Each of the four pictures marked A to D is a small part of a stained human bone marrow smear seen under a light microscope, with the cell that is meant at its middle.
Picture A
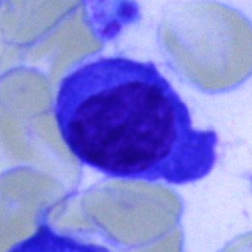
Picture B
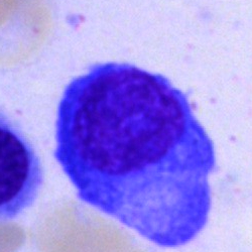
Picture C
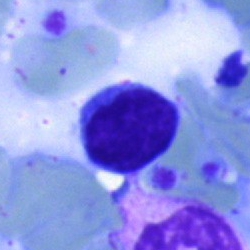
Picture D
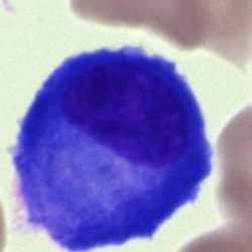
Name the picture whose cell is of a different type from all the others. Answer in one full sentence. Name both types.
Unlike the rest, which show plasma cells, picture C shows a lymphocyte.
